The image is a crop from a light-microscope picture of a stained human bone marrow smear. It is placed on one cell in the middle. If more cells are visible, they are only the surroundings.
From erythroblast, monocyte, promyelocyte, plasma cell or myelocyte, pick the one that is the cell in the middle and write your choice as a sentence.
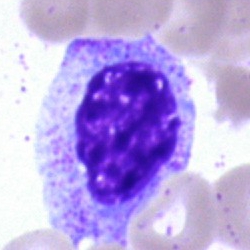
In the central position of this crop, the cell is a myelocyte.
